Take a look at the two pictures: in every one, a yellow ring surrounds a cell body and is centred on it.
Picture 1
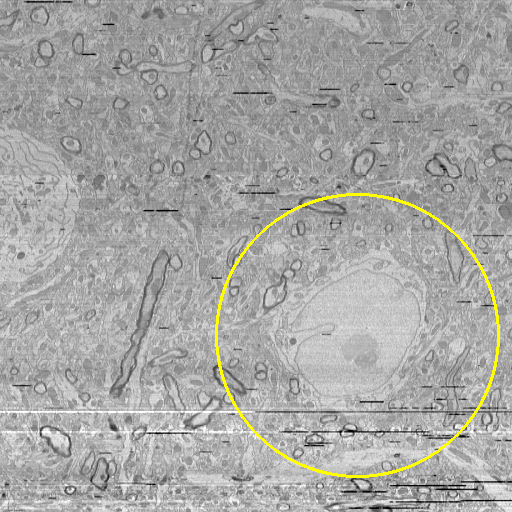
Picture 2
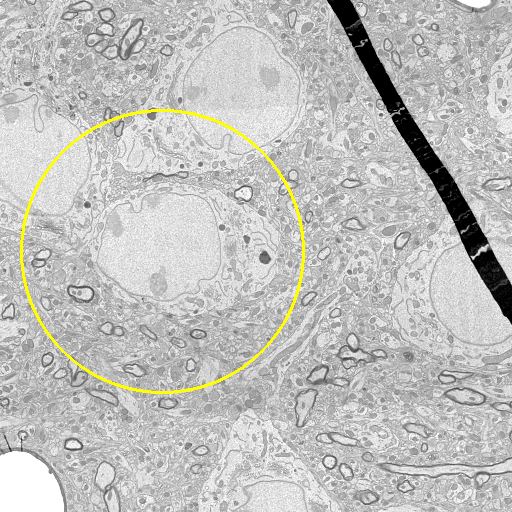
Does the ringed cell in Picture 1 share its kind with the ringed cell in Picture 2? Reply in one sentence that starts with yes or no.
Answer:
Yes, the two centred cells, one per picture, are of one kind.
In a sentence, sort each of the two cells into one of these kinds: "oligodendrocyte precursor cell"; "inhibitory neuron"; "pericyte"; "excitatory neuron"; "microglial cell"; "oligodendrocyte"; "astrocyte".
Each of the two pictures has an excitatory neuron at the ring centre.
